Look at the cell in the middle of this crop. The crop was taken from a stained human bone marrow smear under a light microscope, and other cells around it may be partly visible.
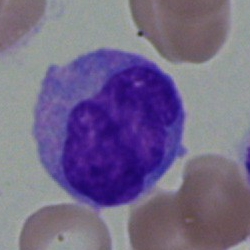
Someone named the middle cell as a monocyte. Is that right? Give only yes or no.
yes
